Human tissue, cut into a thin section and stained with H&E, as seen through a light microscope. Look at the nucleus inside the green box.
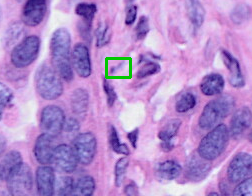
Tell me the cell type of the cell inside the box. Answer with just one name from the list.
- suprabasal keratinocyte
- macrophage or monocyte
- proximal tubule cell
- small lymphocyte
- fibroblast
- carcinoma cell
fibroblast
